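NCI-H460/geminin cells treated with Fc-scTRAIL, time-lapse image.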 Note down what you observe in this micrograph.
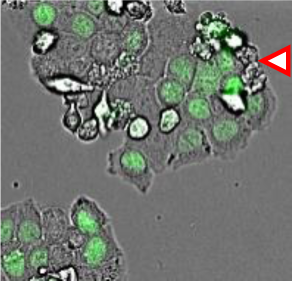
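A colony of cultured cells is seen in transmitted light with green fluorescent nuclei in many of the cells in its centre and right part. Along the left and upper margins numerous cells have become rounded, shrunken, dark-edged and highly refractile, some with irregular blebbed outlines, while cells in the middle of the colony still lie flat and tightly packed.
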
